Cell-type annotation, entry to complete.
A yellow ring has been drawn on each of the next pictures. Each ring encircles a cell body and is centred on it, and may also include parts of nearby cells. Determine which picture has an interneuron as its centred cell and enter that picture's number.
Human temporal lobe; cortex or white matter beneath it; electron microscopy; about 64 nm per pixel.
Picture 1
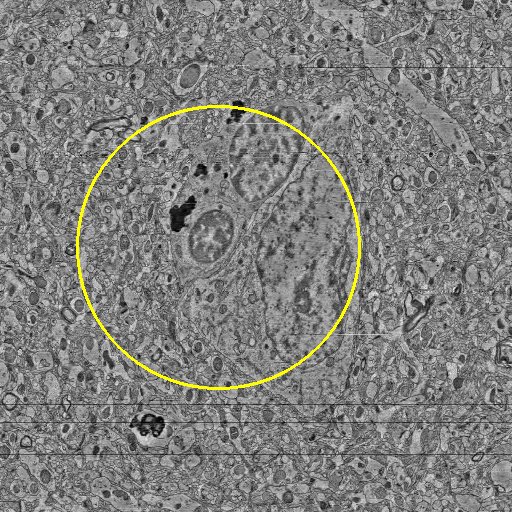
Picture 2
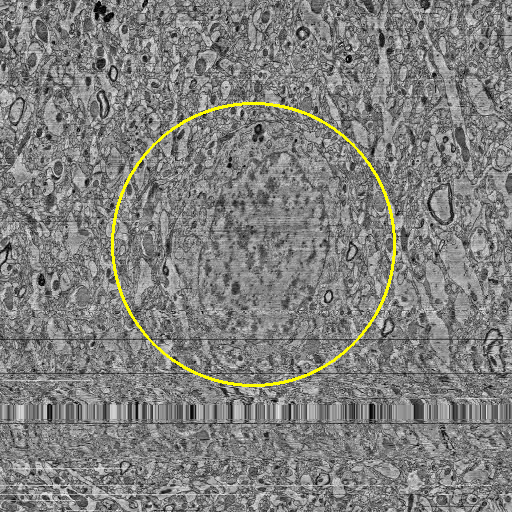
2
